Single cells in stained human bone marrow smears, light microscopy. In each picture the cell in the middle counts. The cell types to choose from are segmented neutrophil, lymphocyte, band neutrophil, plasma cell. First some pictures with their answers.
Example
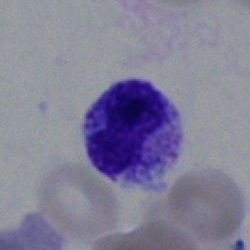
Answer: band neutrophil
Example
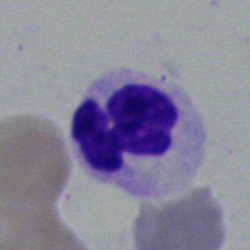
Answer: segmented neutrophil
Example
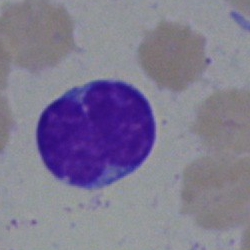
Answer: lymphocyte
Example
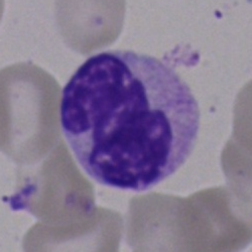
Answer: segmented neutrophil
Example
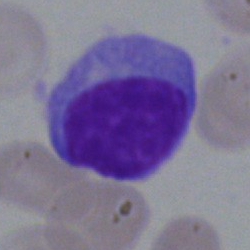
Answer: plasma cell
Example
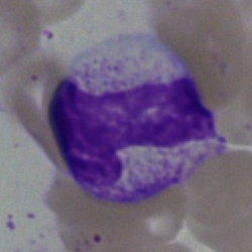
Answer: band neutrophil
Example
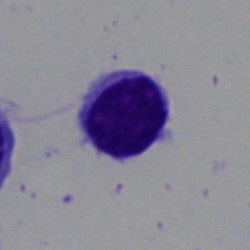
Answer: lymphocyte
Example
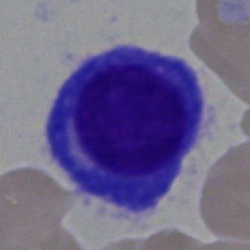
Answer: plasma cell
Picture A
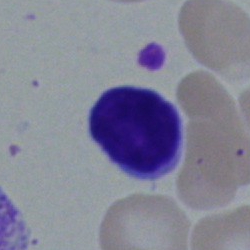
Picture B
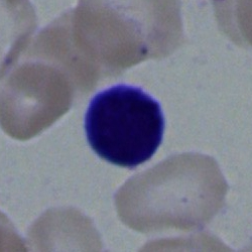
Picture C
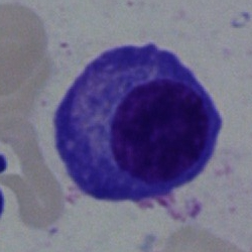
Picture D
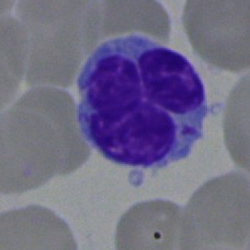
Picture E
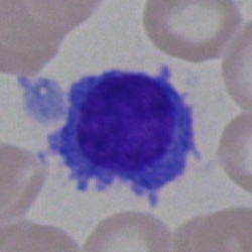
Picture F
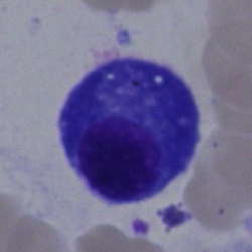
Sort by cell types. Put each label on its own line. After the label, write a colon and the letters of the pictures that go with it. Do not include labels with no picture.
lymphocyte: A, B, D
plasma cell: C, E, F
